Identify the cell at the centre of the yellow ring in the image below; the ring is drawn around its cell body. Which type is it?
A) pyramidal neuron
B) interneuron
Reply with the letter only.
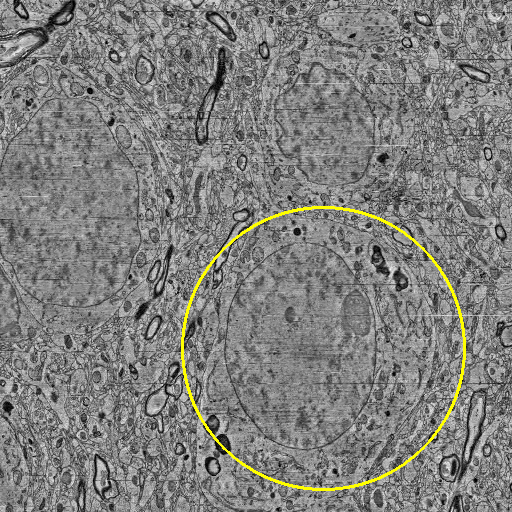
A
